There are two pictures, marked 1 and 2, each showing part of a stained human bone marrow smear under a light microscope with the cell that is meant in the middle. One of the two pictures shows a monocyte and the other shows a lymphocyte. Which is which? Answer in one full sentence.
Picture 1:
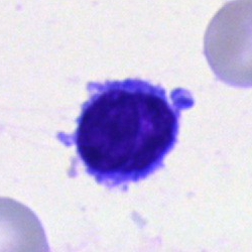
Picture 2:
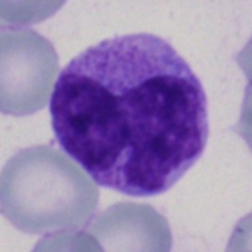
Picture 1 is of a lymphocyte, and picture 2 is of a monocyte.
